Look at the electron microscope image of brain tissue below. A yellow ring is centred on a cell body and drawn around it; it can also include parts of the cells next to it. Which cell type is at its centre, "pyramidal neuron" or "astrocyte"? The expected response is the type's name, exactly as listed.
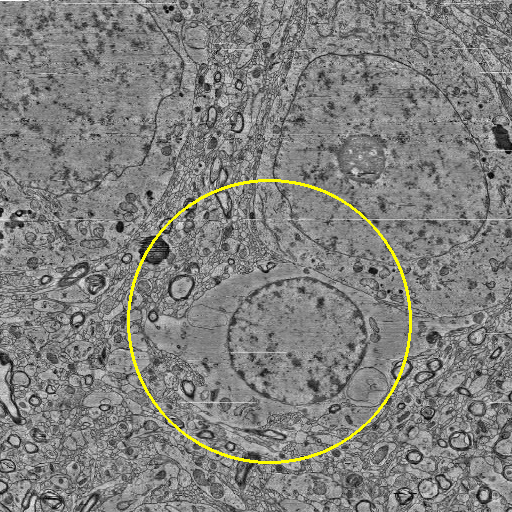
astrocyte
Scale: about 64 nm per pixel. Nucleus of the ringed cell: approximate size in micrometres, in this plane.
About 9 micrometres across, as seen in this plane.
